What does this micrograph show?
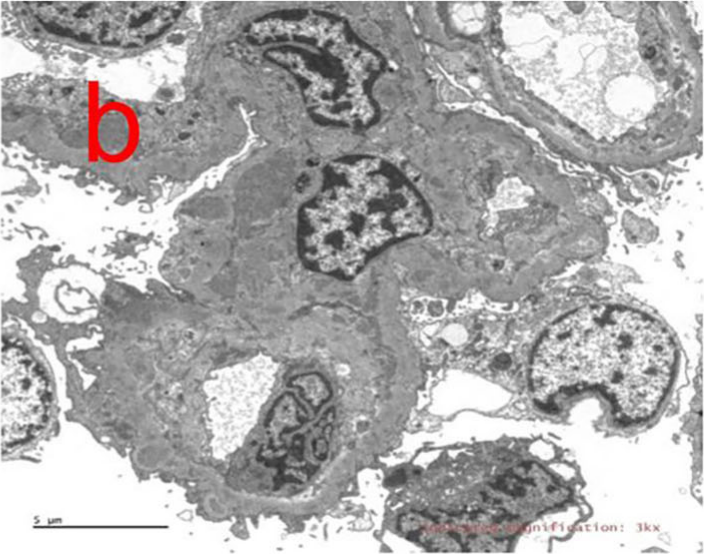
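A glomerular capillary region is seen at electron-microscopic scale, with several cells that have dark, irregular nuclei lying among grey cytoplasm and matrix. The visceral epithelial cells cover the capillary wall as broad, continuous cytoplasm rather than as separate foot processes. A small capillary lumen holding pale content lies beside a cell with a folded nucleus.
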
